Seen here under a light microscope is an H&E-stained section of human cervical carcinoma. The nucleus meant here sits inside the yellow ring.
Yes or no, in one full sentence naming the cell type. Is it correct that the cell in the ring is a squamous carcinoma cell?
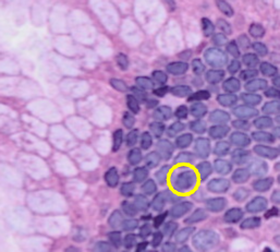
No, it is as a secretory epithelial cell, not a squamous carcinoma cell, that the cell in the ring is classified.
